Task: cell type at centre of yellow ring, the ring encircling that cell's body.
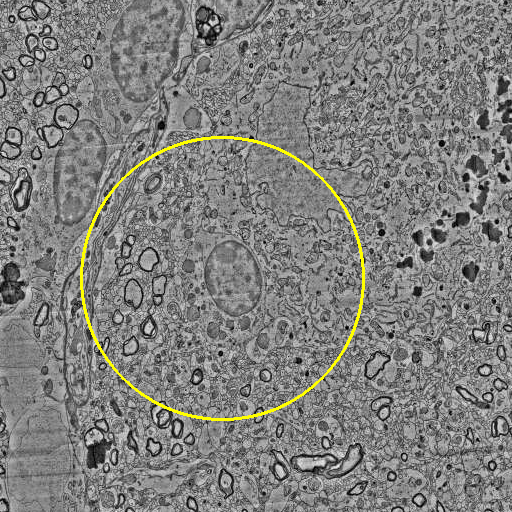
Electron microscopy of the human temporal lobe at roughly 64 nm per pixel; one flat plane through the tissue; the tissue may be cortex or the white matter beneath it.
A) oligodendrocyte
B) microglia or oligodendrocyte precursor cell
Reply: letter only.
A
